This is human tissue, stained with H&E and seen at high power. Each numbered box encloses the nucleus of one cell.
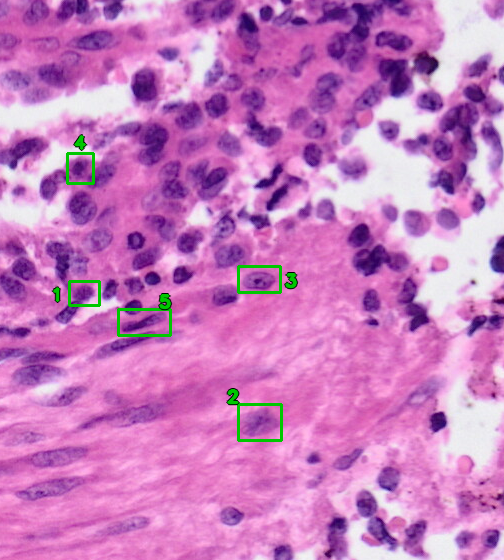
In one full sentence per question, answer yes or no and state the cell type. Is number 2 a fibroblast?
Yes, the marked cell numbered 2 is a fibroblast.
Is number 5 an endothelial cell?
Yes, regarding number 5, the cell is an endothelial cell.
